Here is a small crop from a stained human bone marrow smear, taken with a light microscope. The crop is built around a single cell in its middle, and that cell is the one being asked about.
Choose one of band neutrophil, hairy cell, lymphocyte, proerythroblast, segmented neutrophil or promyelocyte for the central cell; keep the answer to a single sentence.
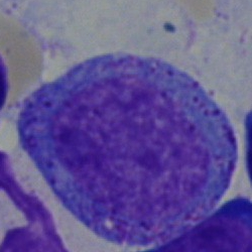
Centred in the crop is a promyelocyte.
